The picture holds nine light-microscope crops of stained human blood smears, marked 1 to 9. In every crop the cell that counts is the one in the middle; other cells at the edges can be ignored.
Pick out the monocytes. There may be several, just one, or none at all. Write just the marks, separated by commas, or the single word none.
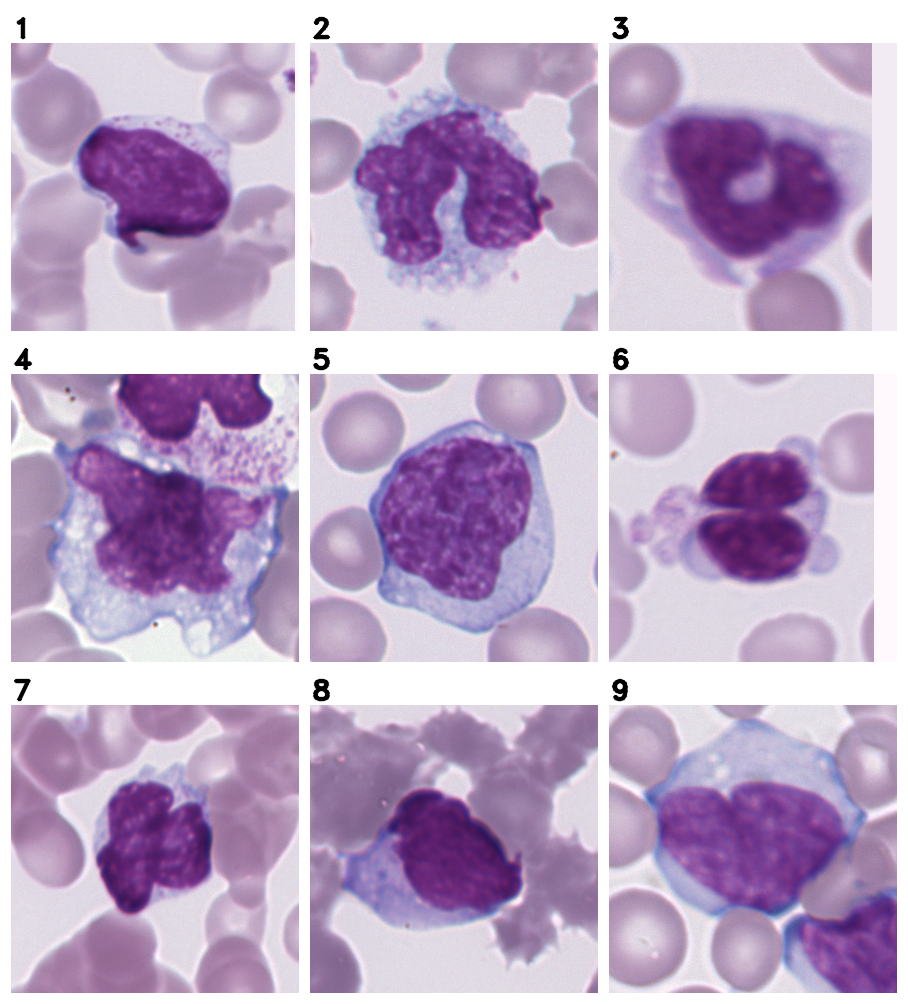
2, 3, 4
